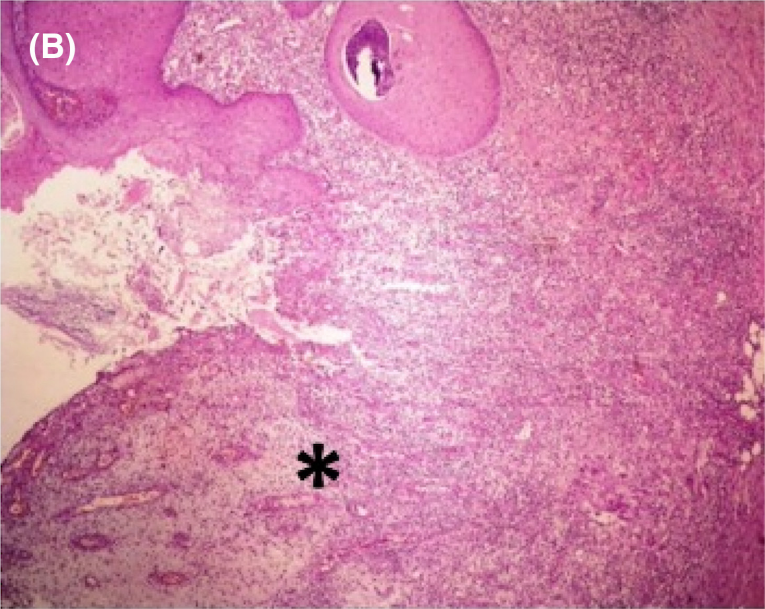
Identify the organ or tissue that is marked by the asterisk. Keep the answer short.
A: Granulation tissue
